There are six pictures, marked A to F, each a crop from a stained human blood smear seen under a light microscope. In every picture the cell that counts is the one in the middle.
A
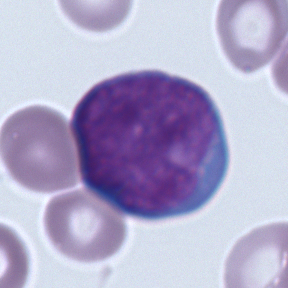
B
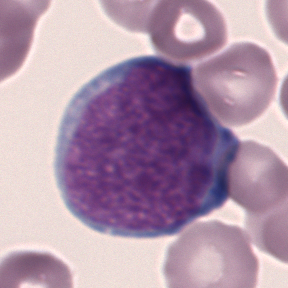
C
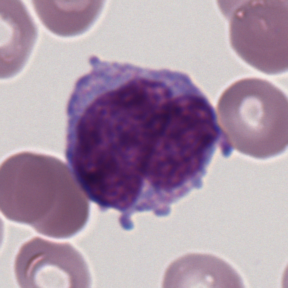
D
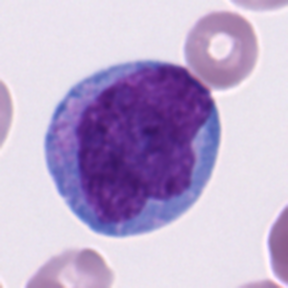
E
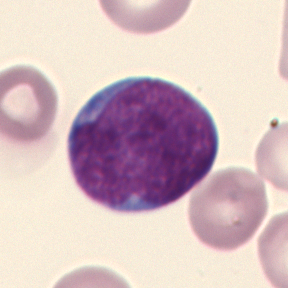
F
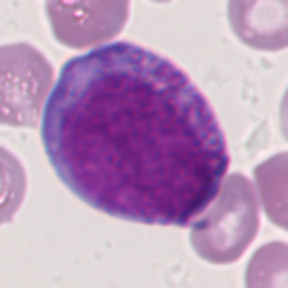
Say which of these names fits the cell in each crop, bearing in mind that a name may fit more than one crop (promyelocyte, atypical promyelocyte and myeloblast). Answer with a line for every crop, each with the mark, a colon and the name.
A: myeloblast
B: myeloblast
C: atypical promyelocyte
D: atypical promyelocyte
E: myeloblast
F: promyelocyte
